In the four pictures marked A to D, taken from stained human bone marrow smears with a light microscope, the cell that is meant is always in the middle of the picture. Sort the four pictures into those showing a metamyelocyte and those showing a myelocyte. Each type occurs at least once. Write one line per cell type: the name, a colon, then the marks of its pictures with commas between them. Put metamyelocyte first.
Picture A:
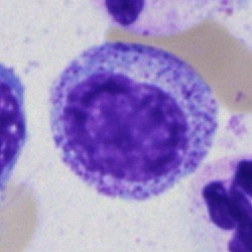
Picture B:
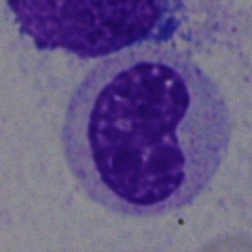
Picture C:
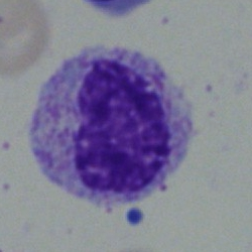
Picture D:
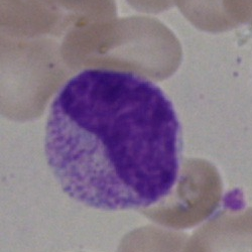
metamyelocyte: B, C, D
myelocyte: A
